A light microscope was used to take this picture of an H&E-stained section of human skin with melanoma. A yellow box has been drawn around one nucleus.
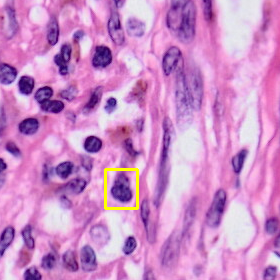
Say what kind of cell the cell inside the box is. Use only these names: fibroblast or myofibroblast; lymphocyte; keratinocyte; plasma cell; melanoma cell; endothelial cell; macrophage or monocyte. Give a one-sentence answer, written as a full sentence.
Within this tissue, the cell inside the box is a lymphocyte.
